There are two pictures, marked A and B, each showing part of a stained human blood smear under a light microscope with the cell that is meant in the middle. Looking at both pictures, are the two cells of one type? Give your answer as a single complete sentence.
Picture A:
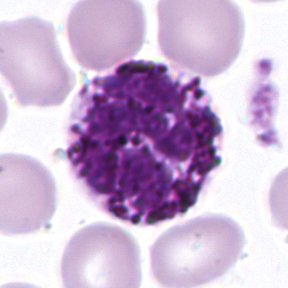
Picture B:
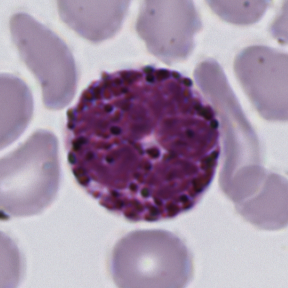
Yes; the cells in both pictures are basophils.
